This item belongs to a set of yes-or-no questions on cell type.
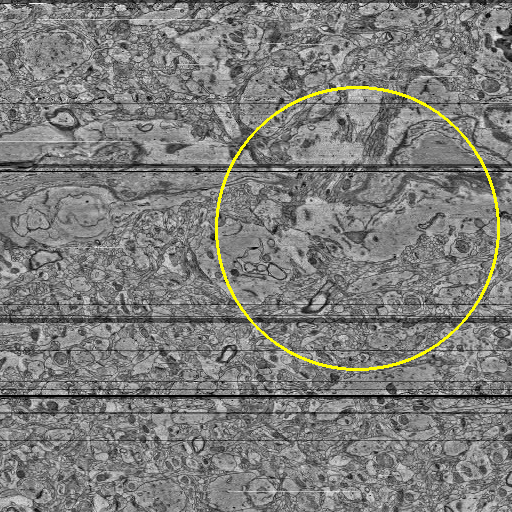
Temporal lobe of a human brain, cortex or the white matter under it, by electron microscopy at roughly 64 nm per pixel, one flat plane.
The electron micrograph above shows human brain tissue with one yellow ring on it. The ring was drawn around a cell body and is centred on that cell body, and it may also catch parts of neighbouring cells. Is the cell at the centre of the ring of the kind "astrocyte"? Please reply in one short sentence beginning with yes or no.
Yes, that cell is of the named kind.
